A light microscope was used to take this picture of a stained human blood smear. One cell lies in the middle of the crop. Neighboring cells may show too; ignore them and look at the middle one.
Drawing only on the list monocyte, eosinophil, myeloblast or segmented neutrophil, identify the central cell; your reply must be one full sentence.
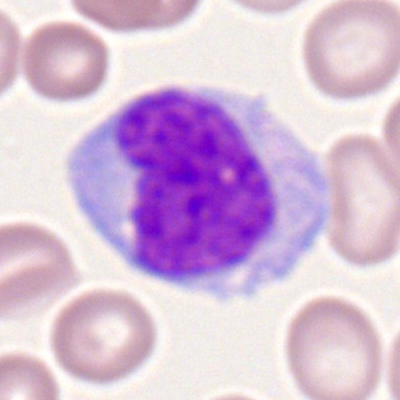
The cell at the heart of this crop is a monocyte.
